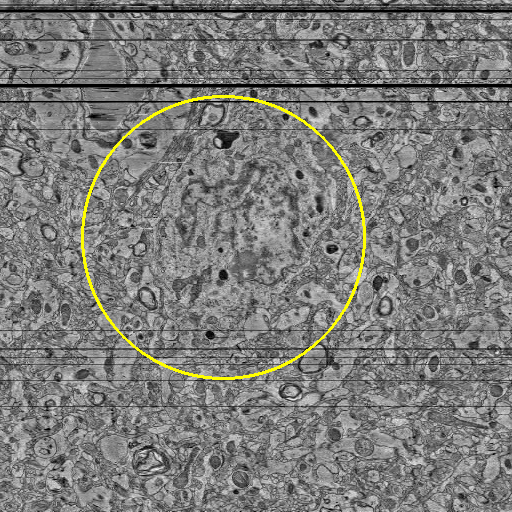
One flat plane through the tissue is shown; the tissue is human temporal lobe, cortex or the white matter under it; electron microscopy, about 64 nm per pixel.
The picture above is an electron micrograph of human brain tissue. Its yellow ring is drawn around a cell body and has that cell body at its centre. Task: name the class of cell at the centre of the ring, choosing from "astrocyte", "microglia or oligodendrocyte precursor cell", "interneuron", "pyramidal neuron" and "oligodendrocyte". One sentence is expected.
The ring surrounds the body of an interneuron.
